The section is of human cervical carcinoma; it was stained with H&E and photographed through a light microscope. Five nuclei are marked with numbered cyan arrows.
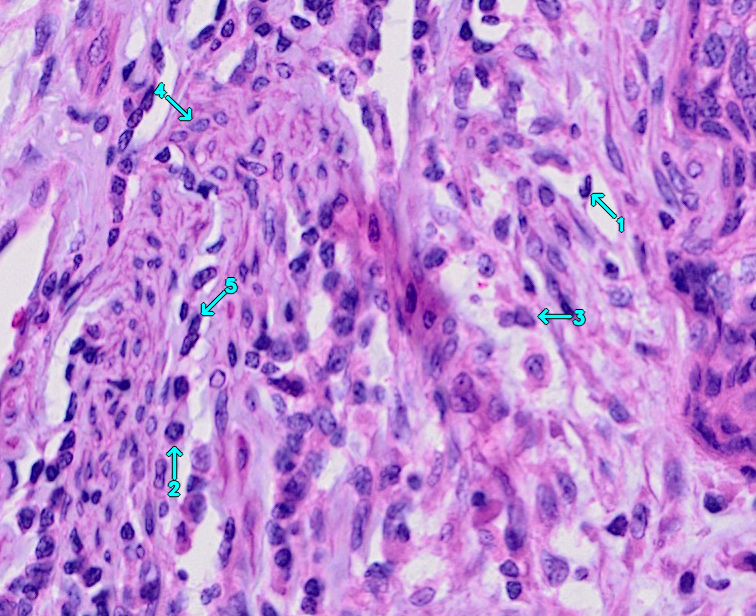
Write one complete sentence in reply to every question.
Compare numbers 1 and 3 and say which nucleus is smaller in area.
Nucleus 1 is the smaller one; nucleus 3 covers about 1.5 times its area.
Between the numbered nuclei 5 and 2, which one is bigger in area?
Nucleus 2 covers more area, about 1.5 times as much as nucleus 5.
